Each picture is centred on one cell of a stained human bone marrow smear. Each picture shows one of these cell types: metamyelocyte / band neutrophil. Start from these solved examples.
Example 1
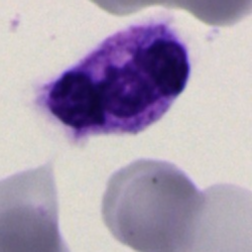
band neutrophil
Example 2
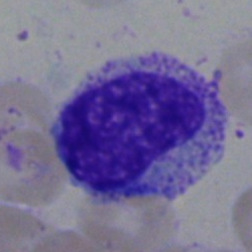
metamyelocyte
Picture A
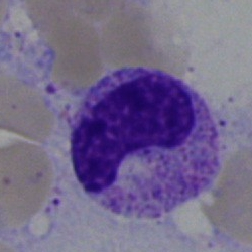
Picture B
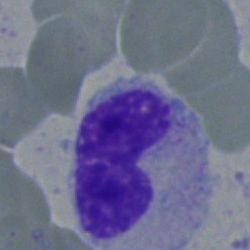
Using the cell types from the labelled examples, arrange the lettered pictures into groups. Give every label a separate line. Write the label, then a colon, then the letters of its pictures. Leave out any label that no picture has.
metamyelocyte: A, B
